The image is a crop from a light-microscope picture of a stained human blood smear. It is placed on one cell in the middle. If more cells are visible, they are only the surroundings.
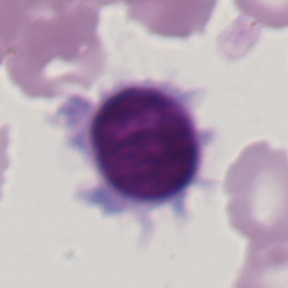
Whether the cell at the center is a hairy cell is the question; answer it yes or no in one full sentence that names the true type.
Yes, a hairy cell is what the central cell is.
